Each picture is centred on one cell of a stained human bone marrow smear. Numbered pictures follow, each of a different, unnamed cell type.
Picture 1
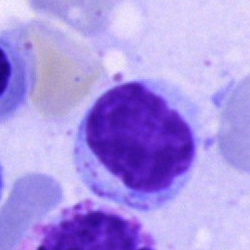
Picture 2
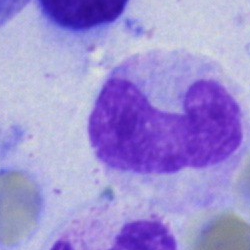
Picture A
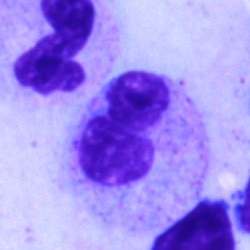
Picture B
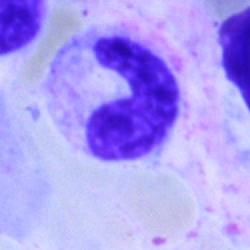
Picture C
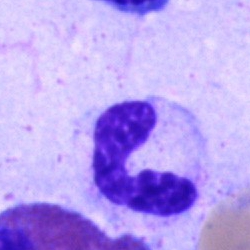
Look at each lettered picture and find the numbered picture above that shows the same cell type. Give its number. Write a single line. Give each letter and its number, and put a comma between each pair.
A 2, B 2, C 2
